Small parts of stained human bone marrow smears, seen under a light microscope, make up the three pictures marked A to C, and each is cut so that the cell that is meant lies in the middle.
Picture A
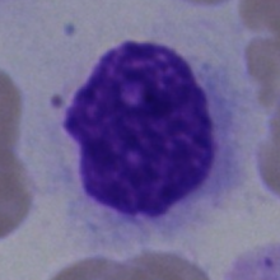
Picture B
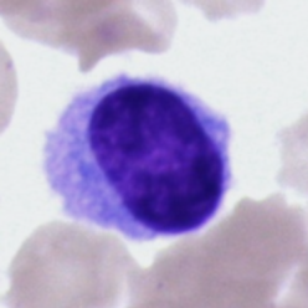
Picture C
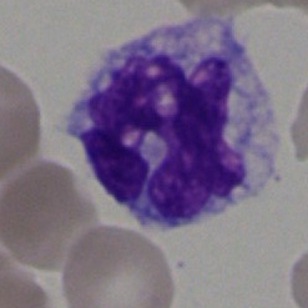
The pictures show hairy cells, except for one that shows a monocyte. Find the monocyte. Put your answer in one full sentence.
Picture C is the one that shows the monocyte.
